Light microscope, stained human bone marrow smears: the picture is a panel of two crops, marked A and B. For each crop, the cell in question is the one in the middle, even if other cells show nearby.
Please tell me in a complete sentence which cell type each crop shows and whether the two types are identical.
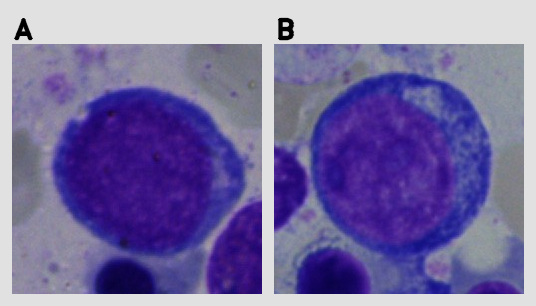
Yes, both crops show a cell each, and these are proerythroblasts.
